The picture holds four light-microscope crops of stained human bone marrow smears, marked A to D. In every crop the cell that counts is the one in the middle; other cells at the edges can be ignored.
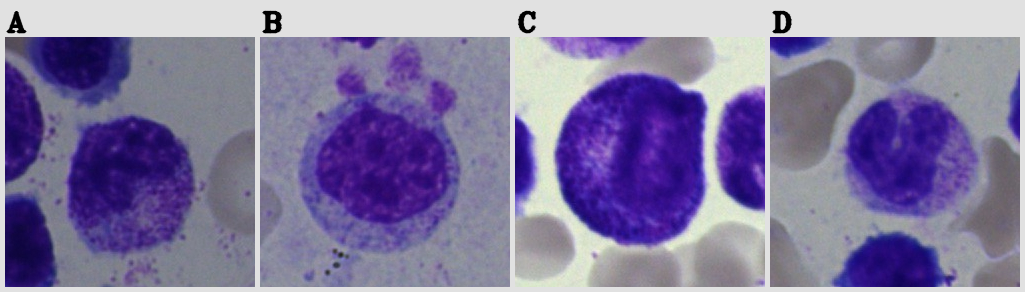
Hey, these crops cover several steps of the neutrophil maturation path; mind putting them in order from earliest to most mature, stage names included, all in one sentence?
Reading from least to most mature, the order comes out as crop C (a promyelocyte), crop B (a myelocyte), crop A (a metamyelocyte) and crop D (a band neutrophil).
